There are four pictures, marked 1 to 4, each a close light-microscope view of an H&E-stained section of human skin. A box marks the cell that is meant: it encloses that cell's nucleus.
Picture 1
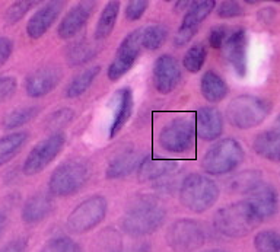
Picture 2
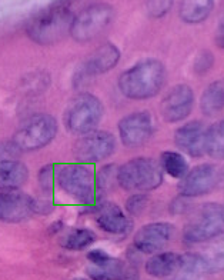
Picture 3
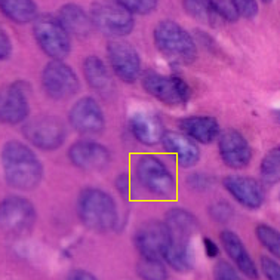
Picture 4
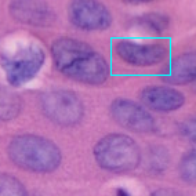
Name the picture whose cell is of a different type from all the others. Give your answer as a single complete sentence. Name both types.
Picture 3 is the odd one out: it shows a suprabasal keratinocyte, while the others show basal keratinocytes.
